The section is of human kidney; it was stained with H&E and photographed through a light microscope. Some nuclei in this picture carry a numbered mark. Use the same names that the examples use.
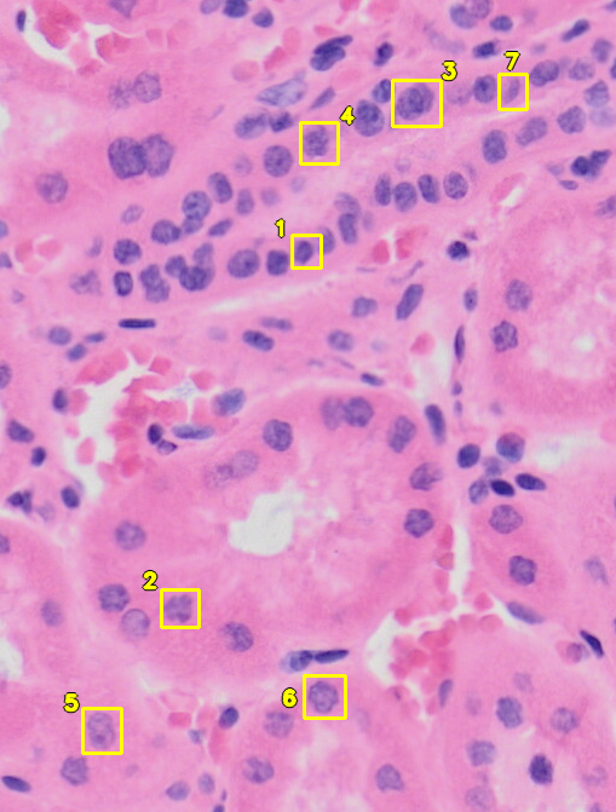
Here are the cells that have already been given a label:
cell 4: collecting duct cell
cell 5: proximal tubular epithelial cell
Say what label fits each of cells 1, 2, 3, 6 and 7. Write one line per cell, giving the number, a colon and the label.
1: collecting duct cell
2: proximal tubular epithelial cell
3: collecting duct cell
6: proximal tubular epithelial cell
7: collecting duct cell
